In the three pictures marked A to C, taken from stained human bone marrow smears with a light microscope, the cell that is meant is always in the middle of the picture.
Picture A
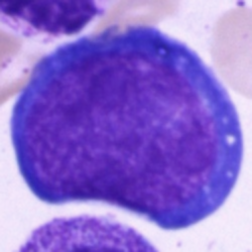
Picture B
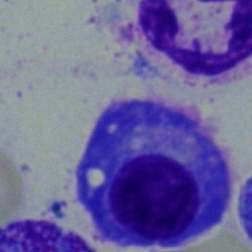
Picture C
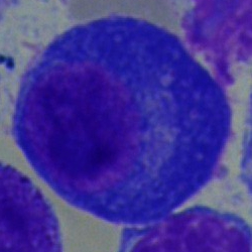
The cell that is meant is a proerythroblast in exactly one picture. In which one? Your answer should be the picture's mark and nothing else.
A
